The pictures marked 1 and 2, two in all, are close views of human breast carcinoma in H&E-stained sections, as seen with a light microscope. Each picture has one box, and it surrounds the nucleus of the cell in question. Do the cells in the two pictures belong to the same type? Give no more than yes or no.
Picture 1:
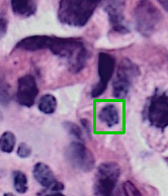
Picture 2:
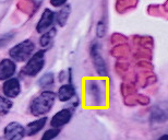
no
